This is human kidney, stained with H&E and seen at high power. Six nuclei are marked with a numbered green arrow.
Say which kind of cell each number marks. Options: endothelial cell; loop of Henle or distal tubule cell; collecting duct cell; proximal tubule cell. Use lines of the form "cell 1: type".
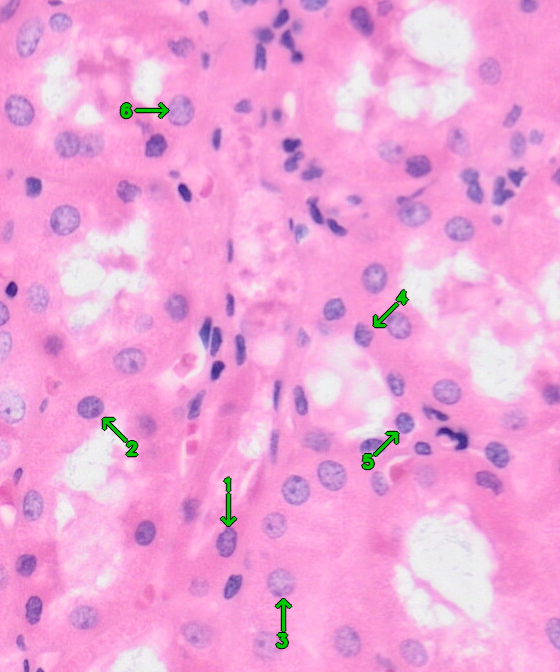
cell 1: proximal tubule cell
cell 2: proximal tubule cell
cell 3: proximal tubule cell
cell 4: loop of Henle or distal tubule cell
cell 5: loop of Henle or distal tubule cell
cell 6: proximal tubule cell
